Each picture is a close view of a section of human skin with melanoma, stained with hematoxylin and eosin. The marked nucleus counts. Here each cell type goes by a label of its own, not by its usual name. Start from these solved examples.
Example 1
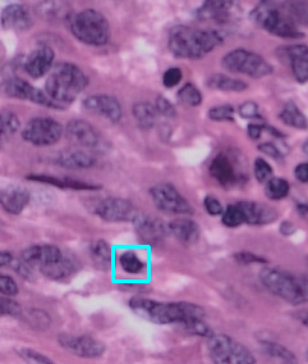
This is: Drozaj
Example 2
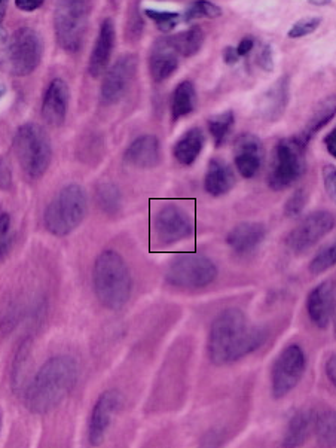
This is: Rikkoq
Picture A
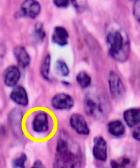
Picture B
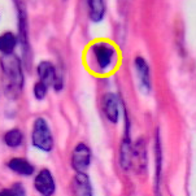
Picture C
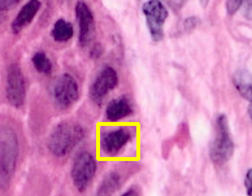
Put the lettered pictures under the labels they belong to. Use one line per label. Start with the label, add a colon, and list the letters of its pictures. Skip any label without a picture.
Drozaj: A, B
Rikkoq: C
